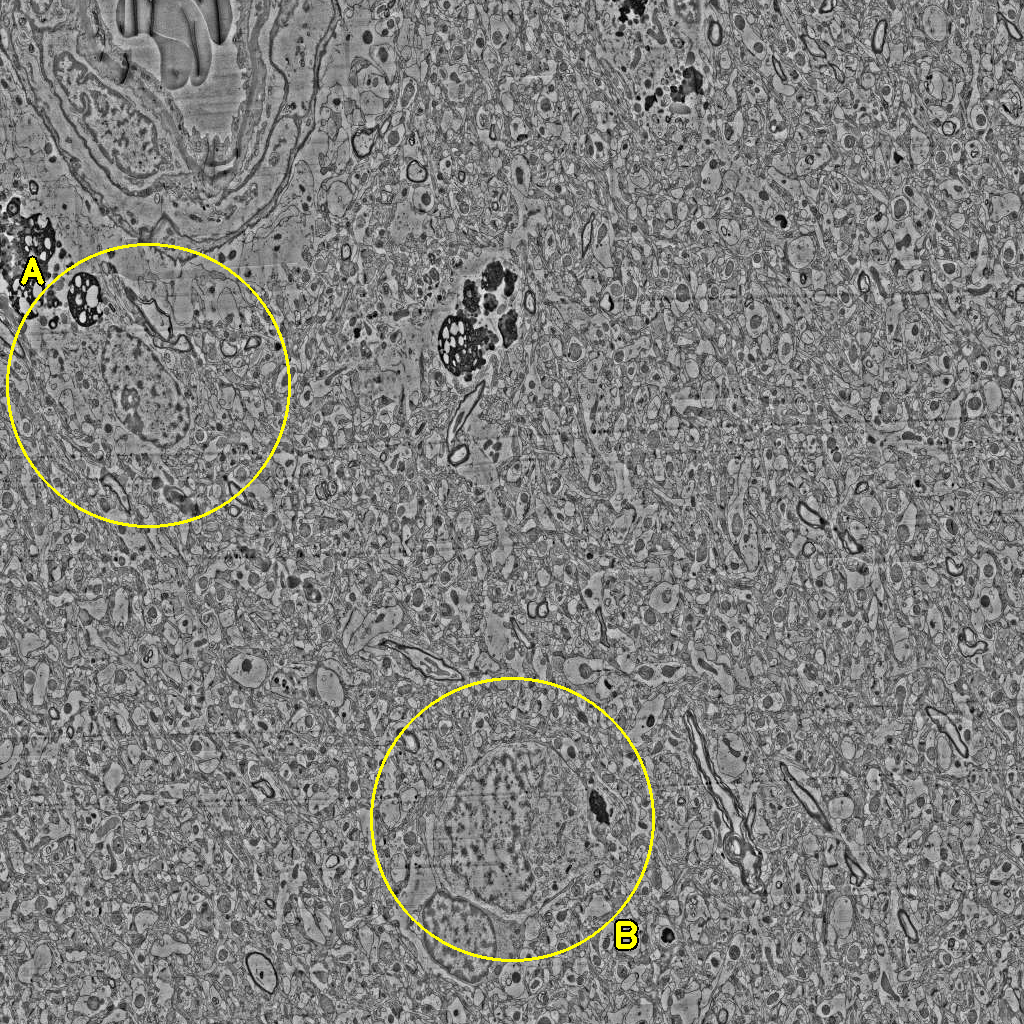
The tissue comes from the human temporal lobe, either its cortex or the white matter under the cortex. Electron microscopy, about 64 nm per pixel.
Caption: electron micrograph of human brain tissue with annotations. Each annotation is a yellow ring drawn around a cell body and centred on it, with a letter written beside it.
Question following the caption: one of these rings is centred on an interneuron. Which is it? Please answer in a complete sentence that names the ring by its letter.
The ring with the letter B is centred on it.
